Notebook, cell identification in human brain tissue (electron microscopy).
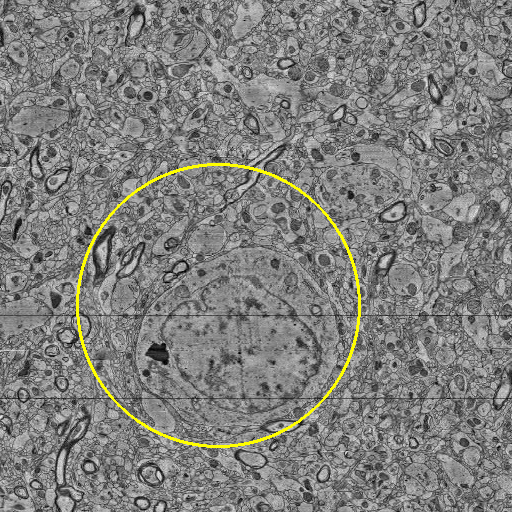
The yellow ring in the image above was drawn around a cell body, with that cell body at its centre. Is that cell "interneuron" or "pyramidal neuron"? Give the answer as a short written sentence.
The cell in the ring is an interneuron.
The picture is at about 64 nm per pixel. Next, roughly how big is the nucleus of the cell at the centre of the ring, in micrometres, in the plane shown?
About 10 micrometres across in this plane.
